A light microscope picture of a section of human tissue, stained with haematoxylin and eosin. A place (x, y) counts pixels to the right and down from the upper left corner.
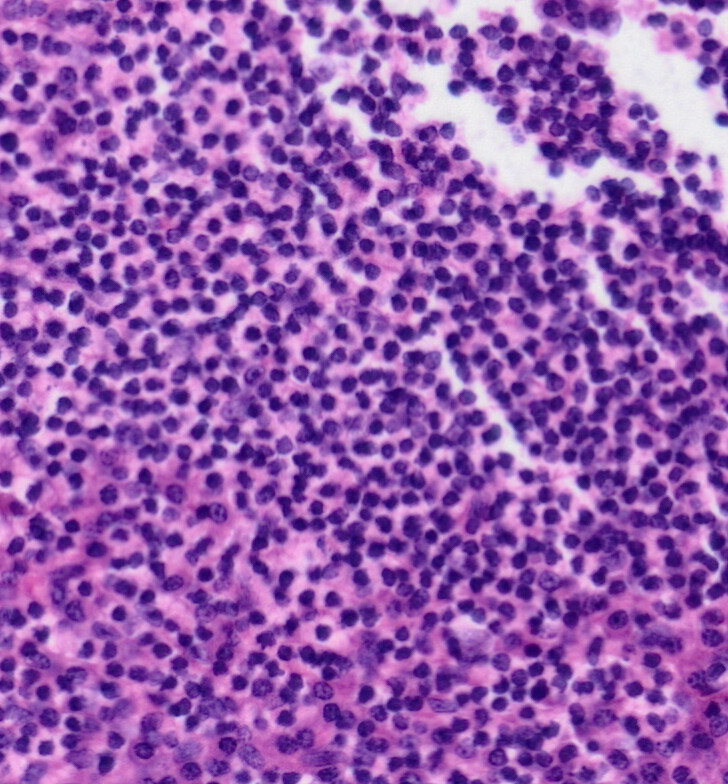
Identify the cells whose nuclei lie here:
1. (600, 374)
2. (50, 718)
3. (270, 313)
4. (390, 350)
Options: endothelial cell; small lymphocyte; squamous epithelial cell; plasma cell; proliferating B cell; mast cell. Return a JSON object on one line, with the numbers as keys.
{"1": "small lymphocyte", "2": "plasma cell", "3": "small lymphocyte", "4": "small lymphocyte"}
